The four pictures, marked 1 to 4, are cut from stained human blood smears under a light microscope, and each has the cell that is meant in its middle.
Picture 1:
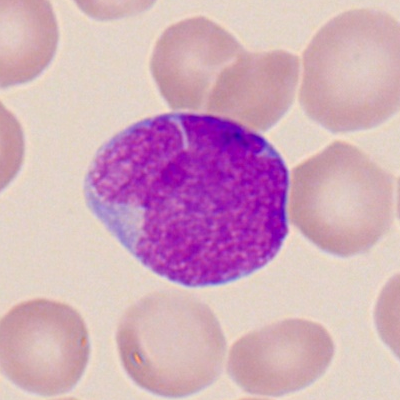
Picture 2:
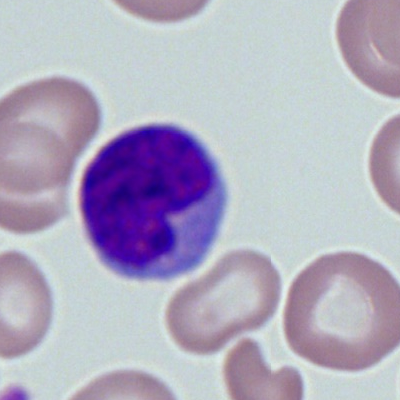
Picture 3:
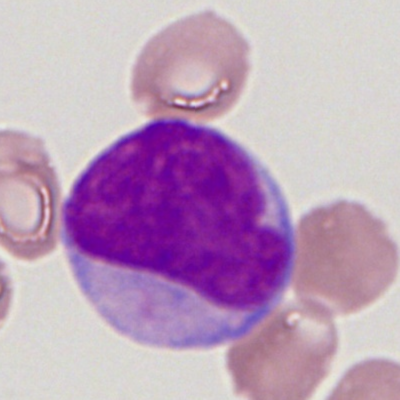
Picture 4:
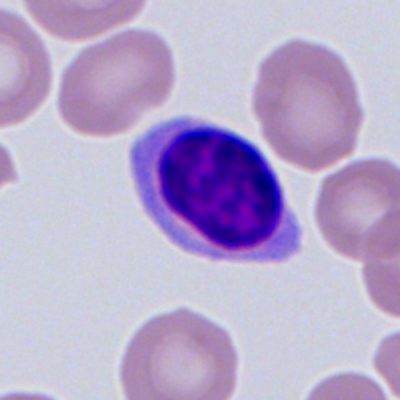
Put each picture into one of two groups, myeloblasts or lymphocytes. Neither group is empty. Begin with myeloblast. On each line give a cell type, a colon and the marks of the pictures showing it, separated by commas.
myeloblast: 1, 3
lymphocyte: 2, 4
